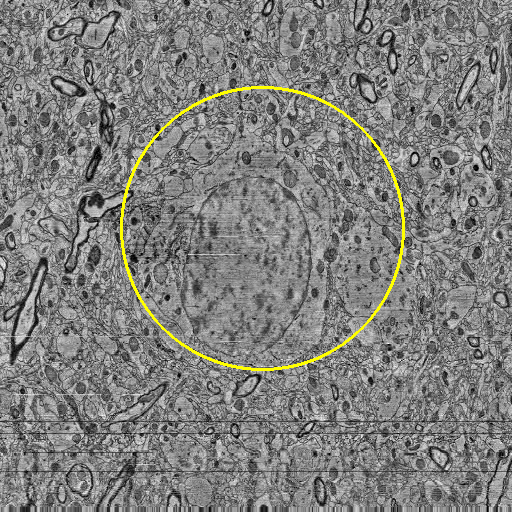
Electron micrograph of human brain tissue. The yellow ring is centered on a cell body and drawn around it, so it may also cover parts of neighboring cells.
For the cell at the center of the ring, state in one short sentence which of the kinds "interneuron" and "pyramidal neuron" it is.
This ring is centered on an interneuron.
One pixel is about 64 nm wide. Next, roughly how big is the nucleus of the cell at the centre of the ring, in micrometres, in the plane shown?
In this plane the nucleus is roughly 13 by 8 micrometres, clearly longer than it is wide.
